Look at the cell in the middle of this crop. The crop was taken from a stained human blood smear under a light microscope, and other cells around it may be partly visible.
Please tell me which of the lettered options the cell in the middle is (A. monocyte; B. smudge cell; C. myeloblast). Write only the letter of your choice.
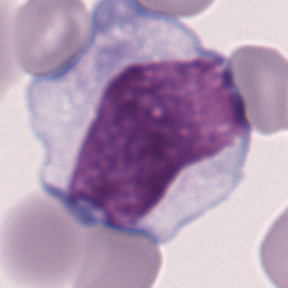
A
